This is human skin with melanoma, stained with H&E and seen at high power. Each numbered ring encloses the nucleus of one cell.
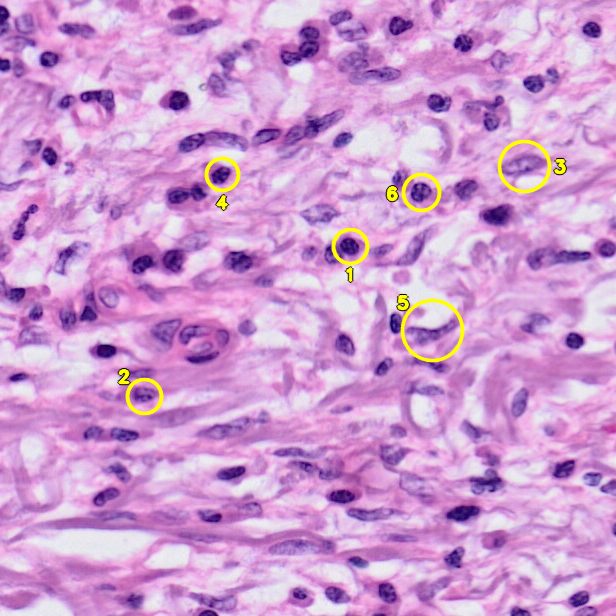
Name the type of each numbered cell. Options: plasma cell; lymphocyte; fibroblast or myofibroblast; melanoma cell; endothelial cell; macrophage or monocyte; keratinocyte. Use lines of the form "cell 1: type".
cell 1: plasma cell
cell 2: plasma cell
cell 3: fibroblast or myofibroblast
cell 4: plasma cell
cell 5: fibroblast or myofibroblast
cell 6: plasma cell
